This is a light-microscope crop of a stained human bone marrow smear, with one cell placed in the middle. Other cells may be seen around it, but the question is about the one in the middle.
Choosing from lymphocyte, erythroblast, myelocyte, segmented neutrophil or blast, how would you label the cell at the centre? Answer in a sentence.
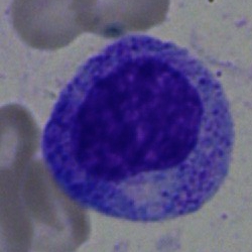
The cell occupying the middle of the crop is a myelocyte.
